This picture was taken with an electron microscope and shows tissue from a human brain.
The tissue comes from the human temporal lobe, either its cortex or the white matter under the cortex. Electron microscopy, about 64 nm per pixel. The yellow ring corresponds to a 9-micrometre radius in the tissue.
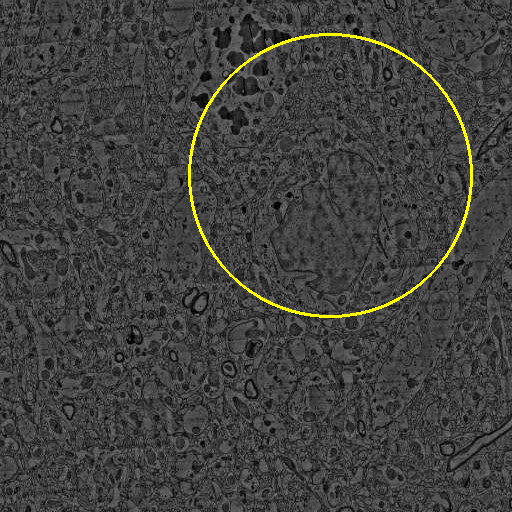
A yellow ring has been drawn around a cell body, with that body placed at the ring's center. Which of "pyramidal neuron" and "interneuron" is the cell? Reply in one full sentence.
In this picture, an interneuron is the cell at the center of the yellow ring.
